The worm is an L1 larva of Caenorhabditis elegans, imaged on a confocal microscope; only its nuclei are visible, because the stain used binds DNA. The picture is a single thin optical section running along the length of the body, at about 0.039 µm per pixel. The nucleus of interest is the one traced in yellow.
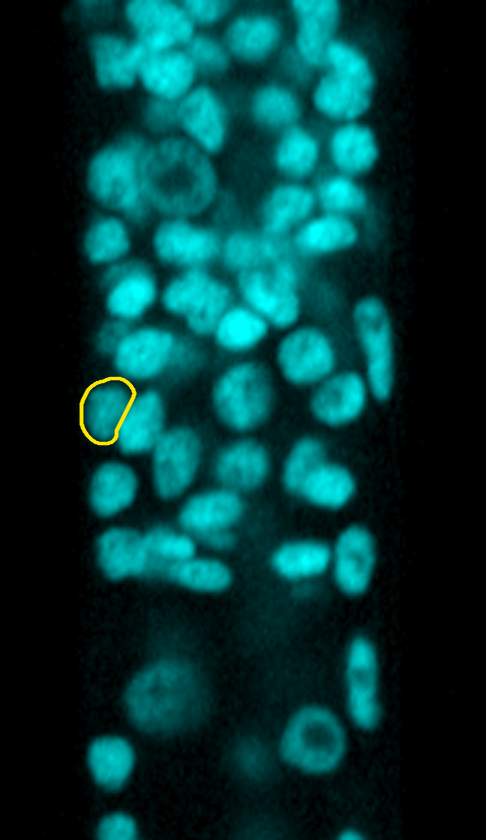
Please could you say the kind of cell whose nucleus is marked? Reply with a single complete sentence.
The cell with the marked nucleus is a neuron.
